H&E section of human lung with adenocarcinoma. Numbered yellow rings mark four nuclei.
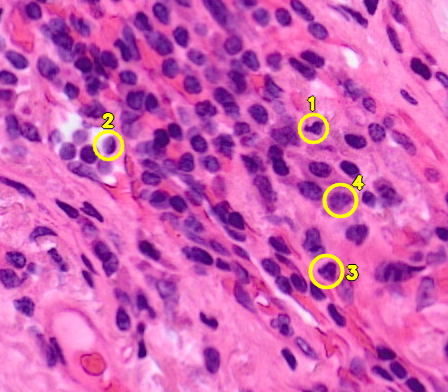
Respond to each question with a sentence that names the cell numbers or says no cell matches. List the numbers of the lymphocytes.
The cells carrying labels 1, 2 and 3 are lymphocytes.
